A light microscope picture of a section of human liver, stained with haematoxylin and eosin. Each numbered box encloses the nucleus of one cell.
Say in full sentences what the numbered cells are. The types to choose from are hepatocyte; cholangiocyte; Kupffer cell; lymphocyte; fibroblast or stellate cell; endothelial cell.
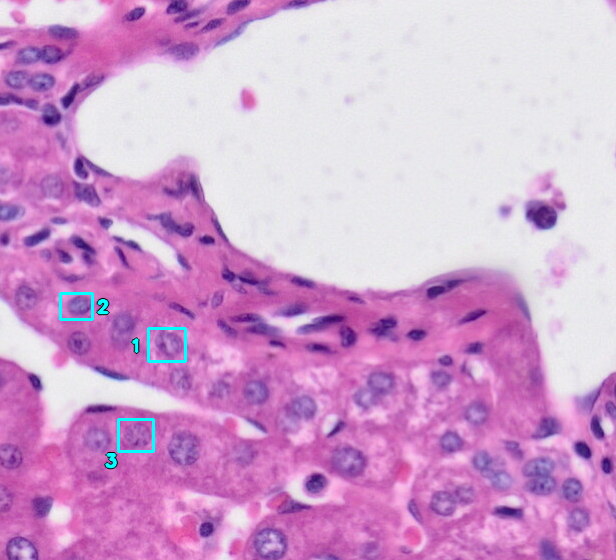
Cell 1 is a hepatocyte, cell 2 is a cholangiocyte and cell 3 is a hepatocyte.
